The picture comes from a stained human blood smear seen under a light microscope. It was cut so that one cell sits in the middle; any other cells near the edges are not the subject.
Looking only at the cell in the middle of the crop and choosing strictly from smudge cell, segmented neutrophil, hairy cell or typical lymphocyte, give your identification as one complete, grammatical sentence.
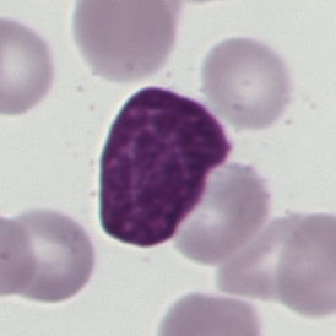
The cell the crop is centered on is a smudge cell.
